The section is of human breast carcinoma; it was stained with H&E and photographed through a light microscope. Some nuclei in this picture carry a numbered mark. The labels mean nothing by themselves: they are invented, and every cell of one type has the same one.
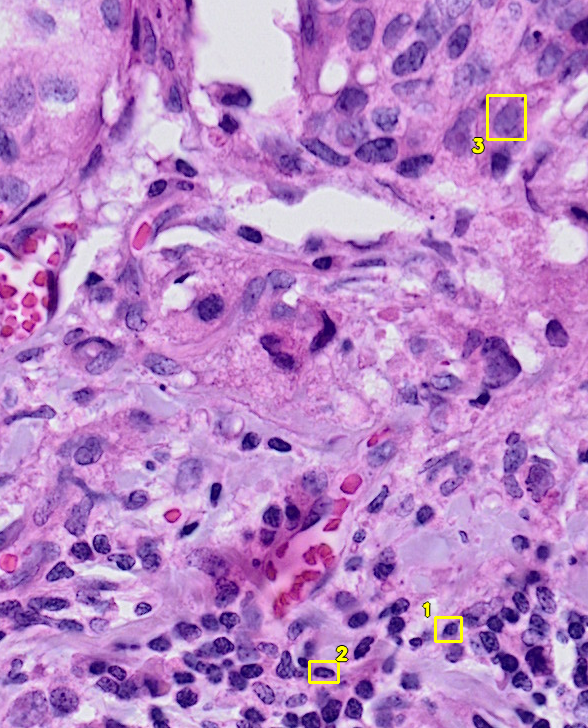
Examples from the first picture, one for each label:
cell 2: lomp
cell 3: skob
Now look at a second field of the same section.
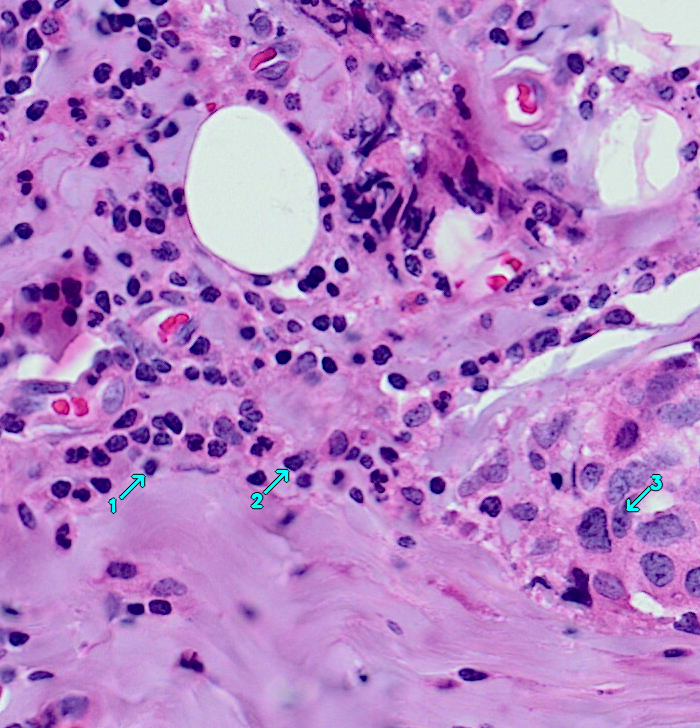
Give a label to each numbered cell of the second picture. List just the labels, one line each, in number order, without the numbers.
lomp
lomp
skob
